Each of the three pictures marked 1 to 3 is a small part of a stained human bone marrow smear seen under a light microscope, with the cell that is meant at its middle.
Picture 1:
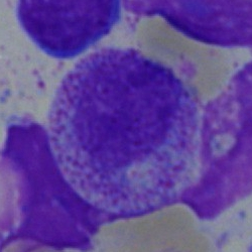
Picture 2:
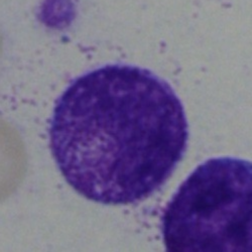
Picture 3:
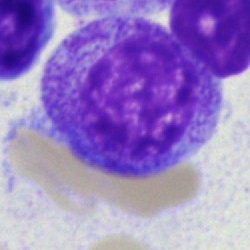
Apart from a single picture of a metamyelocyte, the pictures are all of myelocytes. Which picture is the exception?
2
